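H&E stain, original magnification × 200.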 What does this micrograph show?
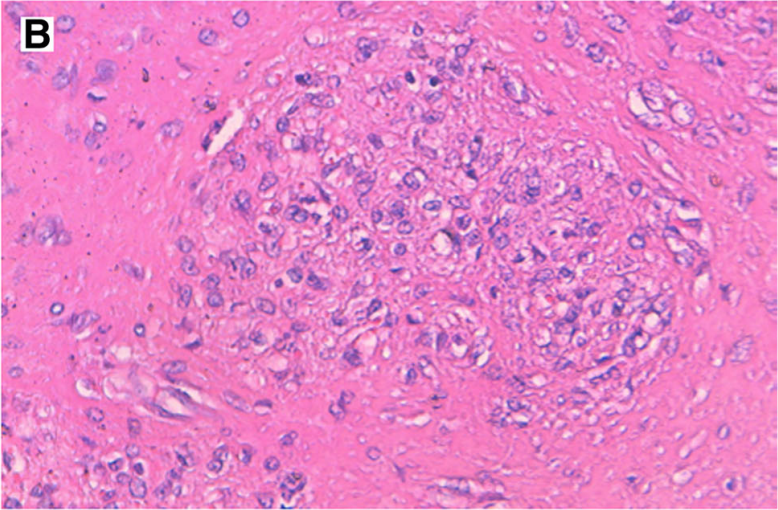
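A single rounded nodule of closely packed cells sits in the center, surrounded by pink fibrous stroma. Within it are many small clear vascular spaces. These spaces are lined by cells with oval to plump nuclei that look fairly uniform, without marked atypia. This is an angiomatoid nodule, with small vascular channels lined by regular endothelial cells.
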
